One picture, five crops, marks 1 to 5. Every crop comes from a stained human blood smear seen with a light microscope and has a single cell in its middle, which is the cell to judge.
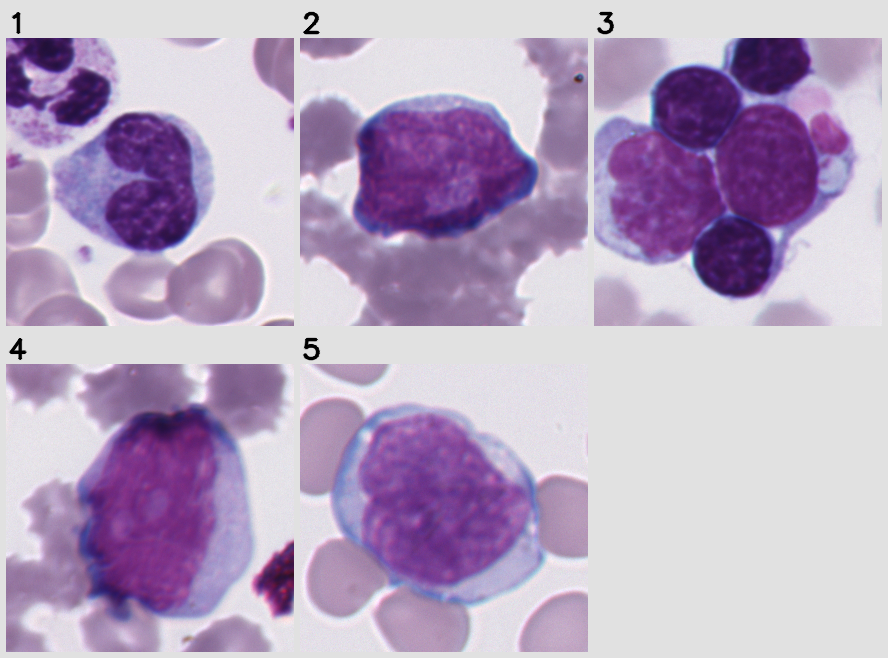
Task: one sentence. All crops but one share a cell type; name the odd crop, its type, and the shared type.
All crops show myeloblasts except crop 1, which is a monocyte.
